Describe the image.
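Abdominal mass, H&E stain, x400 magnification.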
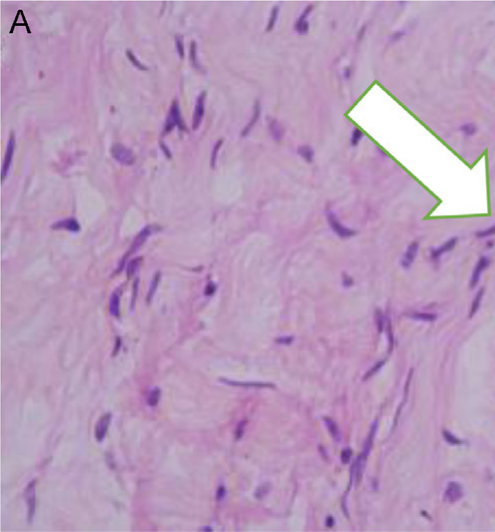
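This is a sparsely cellular tumor of spindle cells. Their nuclei are slender, elongated and dark purple, and many of them are curved, bent or wavy rather than straight. The nuclei lie scattered in an abundant pale pink, fibrillar and somewhat loose stroma, with some paler, wispy areas between bundles. The chromatin looks smooth and even, and no nucleus is strikingly enlarged or bizarre. Together these features suggest a bland spindle-cell tumor without signs of malignancy.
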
